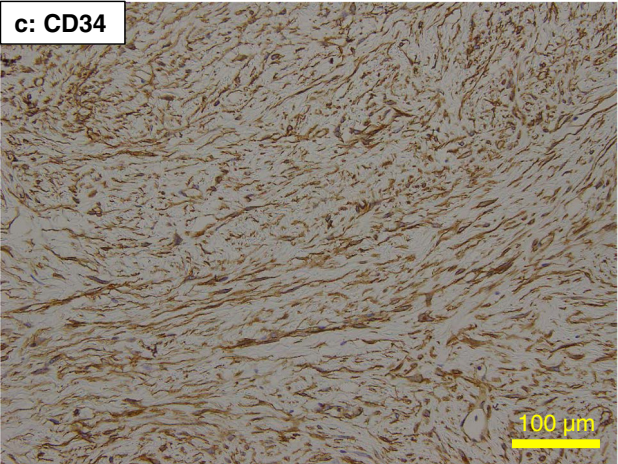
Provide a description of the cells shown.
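Tumor of spindle-shaped cells whose elongated cell bodies and processes are stained brown throughout the field. The cells run in bundles of varying direction within a pale stroma, with bluish nuclei visible among the brown-stained cytoplasm.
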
